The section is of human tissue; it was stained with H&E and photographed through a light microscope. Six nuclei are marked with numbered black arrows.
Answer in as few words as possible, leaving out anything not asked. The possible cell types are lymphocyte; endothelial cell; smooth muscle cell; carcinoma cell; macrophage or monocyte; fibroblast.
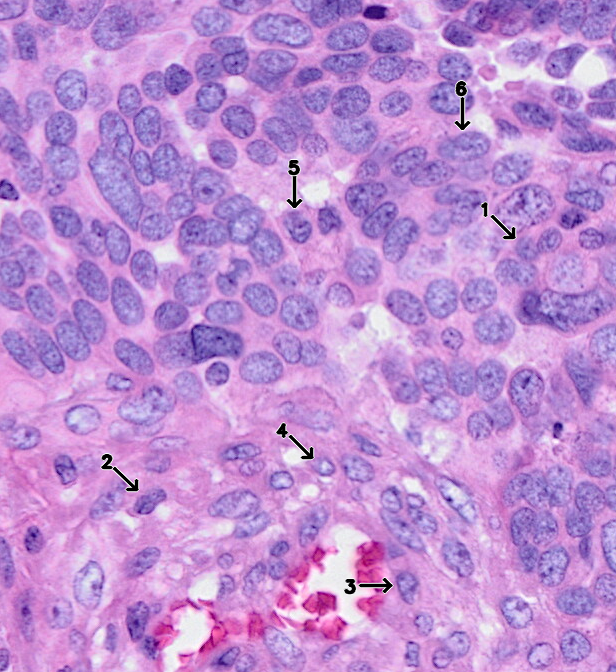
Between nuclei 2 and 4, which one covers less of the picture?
4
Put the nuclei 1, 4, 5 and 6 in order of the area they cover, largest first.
6, 5, 1, 4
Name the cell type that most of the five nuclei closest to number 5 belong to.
carcinoma cell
